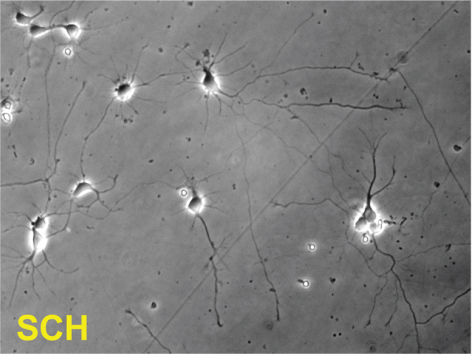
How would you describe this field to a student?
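Cultured neurons are seen in phase contrast as bright, haloed cell bodies spread over a flat, grey substrate. Each cell body gives rise to several thin, dark processes that radiate in different directions. Many of these neurites are long and branch repeatedly, crossing large parts of the field and reaching toward neighbouring cells. Some cell bodies lie close together in small groups, with their processes intermingling. Scattered small bright round particles lie on the substrate between the cells.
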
